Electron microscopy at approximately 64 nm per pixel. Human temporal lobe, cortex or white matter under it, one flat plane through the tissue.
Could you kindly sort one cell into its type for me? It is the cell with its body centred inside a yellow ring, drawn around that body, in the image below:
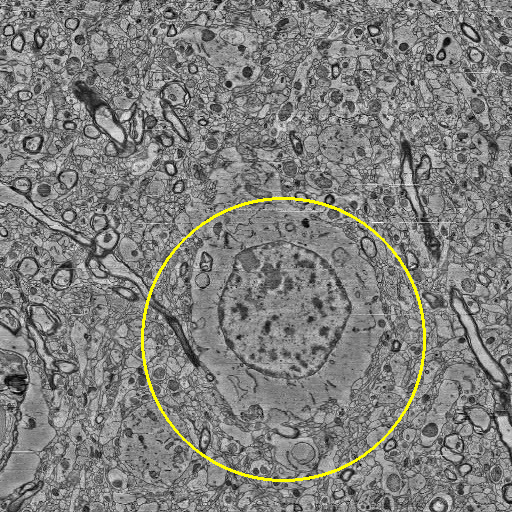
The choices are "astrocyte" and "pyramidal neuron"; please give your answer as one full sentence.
The cell whose body lies centred in the yellow ring here is an astrocyte.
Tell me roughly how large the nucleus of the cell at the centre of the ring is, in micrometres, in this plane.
In this plane, approximately 9 micrometres across.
